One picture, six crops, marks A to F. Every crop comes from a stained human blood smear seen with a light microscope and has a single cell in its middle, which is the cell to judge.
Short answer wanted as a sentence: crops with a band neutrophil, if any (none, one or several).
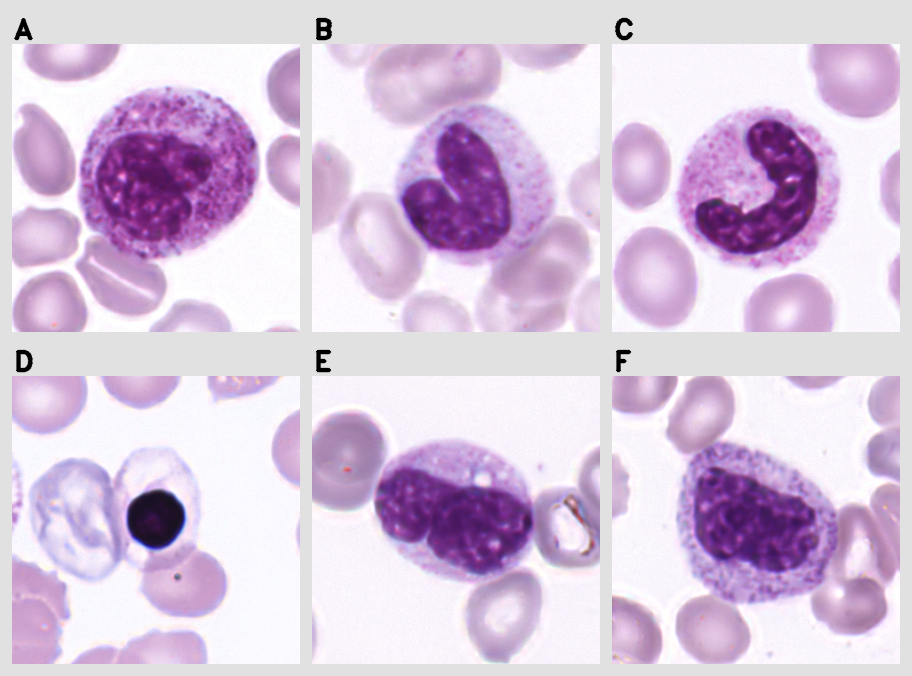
So, to put it simply, crops A, B, C and E show band neutrophils.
